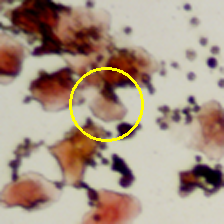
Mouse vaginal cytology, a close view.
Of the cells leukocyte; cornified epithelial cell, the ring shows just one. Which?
The ring shows a cornified epithelial cell.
